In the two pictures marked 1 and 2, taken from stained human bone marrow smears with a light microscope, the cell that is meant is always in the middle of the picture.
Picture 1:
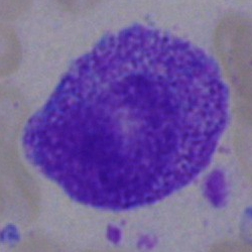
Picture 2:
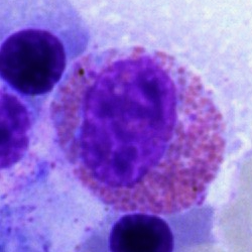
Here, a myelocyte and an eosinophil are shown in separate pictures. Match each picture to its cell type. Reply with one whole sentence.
It is picture 1 that shows a myelocyte, and picture 2 that shows an eosinophil.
